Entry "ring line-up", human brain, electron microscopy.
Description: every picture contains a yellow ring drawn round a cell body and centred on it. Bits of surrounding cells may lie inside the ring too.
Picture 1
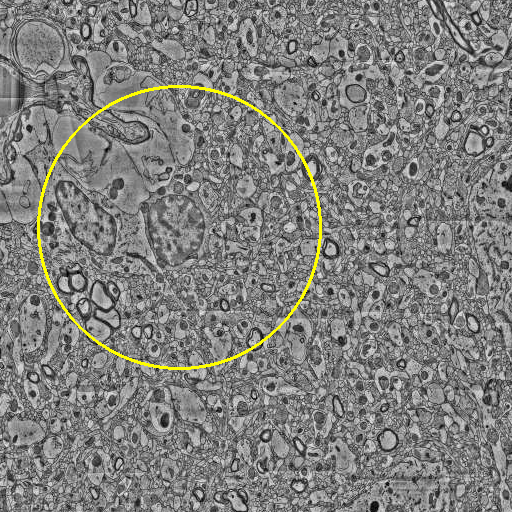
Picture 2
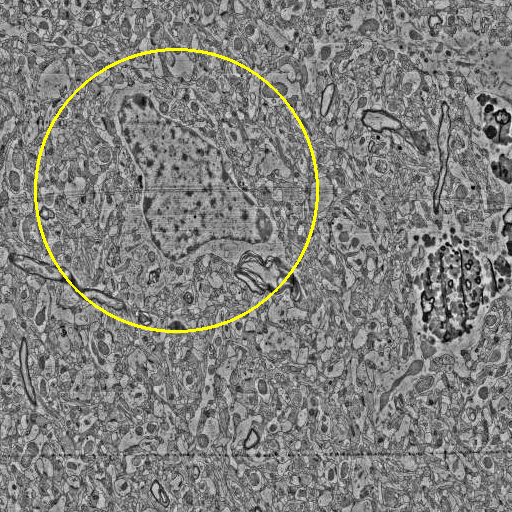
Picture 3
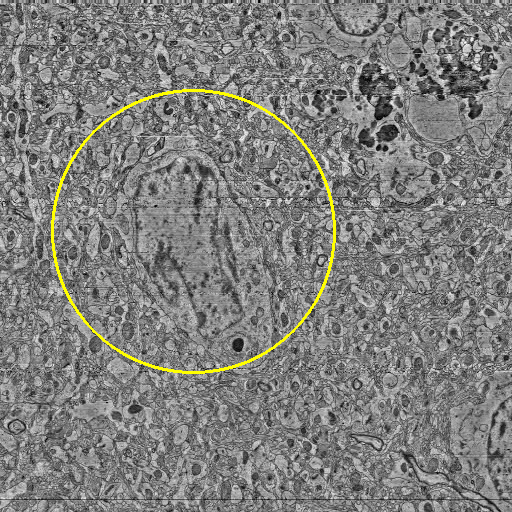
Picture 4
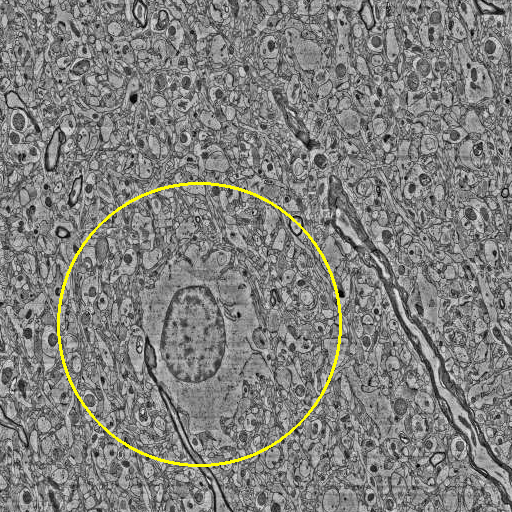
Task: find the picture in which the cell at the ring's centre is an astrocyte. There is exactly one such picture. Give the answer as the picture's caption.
Picture 4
